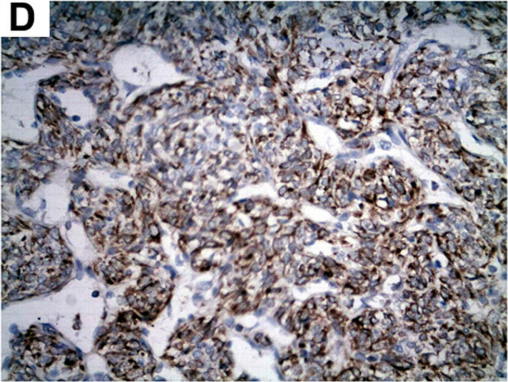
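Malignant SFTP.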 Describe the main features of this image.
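The cells are plump, oval to short spindle-shaped, crowded and overlapping, with rounded to oval nuclei counterstained blue. A brown stain fills the cytoplasm and outlines the cell borders in most cells, giving the clusters a dark, granular look. Between the nests, slit-like and branching empty spaces of various sizes are lined by flattened cells and surrounded by a little pale stroma that is largely unstained, so the brown cell clusters stand out against it.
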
